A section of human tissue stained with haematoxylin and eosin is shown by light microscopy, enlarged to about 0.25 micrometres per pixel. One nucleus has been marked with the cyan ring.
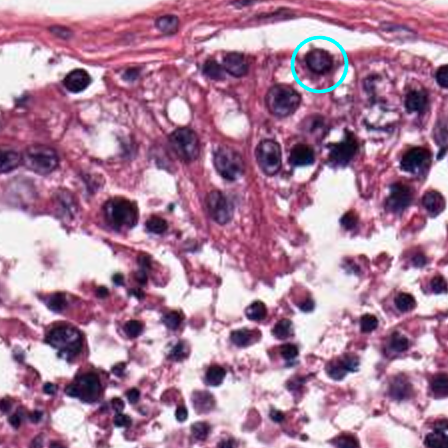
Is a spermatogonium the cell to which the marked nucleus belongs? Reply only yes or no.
yes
